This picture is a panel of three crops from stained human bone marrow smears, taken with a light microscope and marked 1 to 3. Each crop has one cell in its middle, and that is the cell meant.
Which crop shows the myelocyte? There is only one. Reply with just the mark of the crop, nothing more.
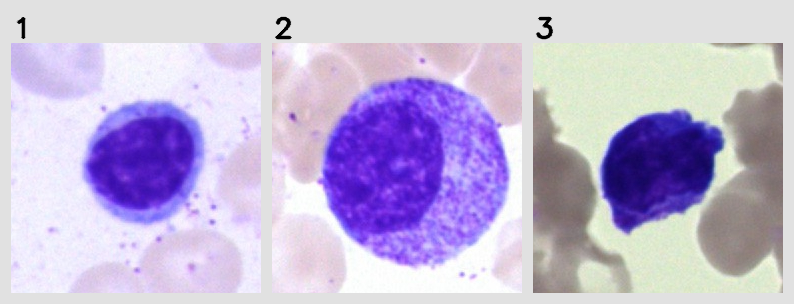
2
